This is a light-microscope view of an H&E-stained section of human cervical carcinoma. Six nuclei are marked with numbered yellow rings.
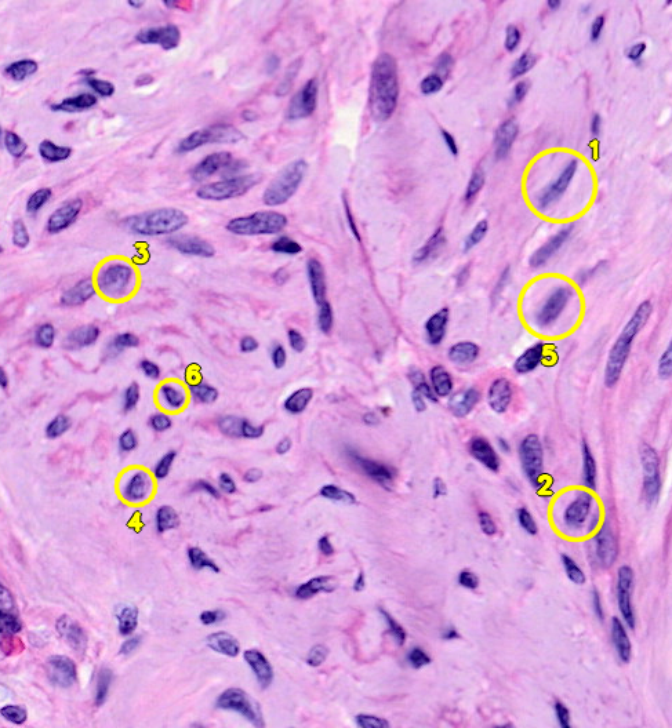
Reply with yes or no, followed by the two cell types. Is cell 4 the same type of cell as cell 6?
Yes, both are smooth muscle cells.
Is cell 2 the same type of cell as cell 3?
No, cell 2 is a fibroblast and cell 3 is a smooth muscle cell.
